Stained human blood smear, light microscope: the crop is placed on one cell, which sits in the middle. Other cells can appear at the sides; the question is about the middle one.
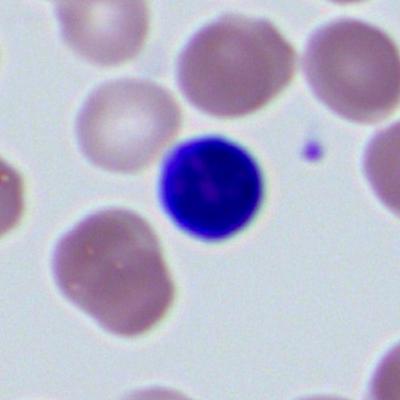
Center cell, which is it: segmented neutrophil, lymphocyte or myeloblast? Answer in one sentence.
The target cell in the middle of the crop is a lymphocyte.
